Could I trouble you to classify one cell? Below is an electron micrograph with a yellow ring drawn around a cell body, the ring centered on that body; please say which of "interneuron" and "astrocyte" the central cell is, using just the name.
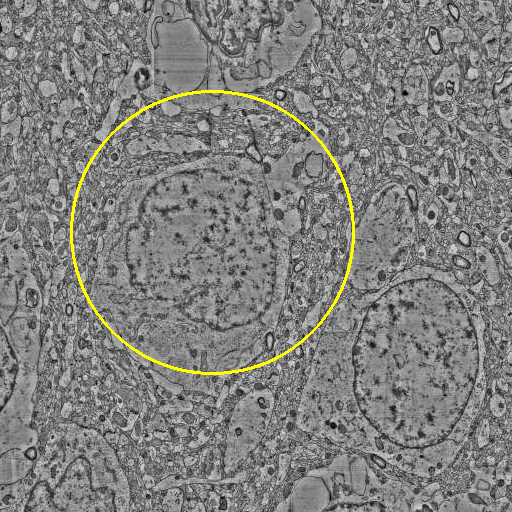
interneuron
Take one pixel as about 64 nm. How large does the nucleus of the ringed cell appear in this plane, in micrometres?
The nucleus measures about 10 micrometers across in this plane.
